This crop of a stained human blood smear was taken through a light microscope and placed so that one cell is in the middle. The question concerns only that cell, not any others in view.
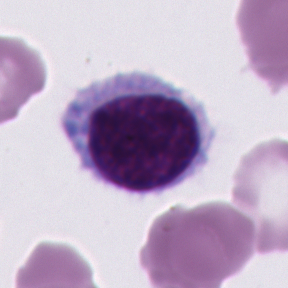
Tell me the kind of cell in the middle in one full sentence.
The centrally positioned cell in the crop represents a hairy cell.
